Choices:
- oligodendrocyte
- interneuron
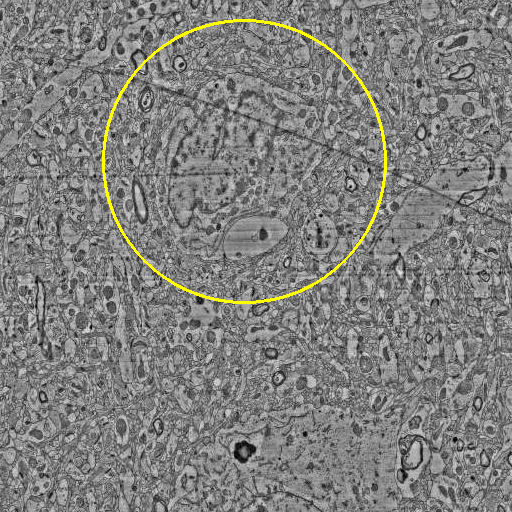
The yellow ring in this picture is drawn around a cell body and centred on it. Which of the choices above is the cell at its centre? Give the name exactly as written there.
interneuron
